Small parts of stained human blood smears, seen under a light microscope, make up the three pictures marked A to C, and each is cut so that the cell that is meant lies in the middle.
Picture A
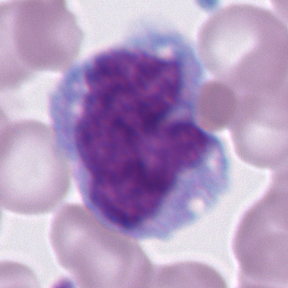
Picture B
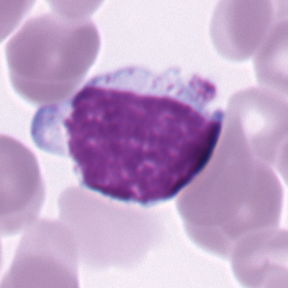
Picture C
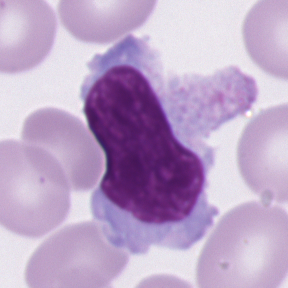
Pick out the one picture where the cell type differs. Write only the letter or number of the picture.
A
